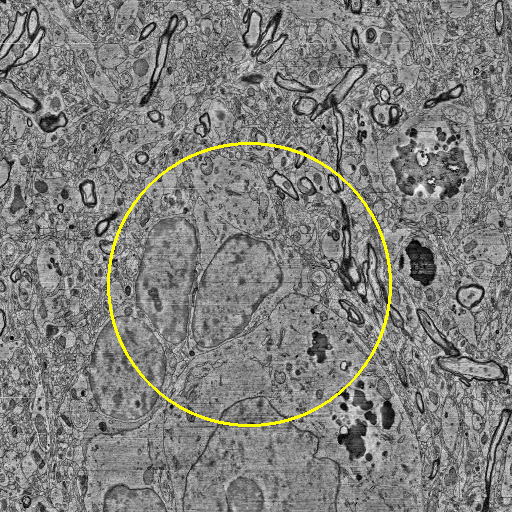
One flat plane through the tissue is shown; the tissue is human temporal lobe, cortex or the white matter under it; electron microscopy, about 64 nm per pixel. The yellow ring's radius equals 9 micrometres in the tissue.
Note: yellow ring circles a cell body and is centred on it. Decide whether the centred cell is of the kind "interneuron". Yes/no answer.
No, the centred cell is of another kind.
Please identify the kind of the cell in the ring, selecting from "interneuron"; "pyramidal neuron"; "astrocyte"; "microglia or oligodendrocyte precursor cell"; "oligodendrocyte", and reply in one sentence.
Instead, the ring in this picture marks a microglial cell or oligodendrocyte precursor cell.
